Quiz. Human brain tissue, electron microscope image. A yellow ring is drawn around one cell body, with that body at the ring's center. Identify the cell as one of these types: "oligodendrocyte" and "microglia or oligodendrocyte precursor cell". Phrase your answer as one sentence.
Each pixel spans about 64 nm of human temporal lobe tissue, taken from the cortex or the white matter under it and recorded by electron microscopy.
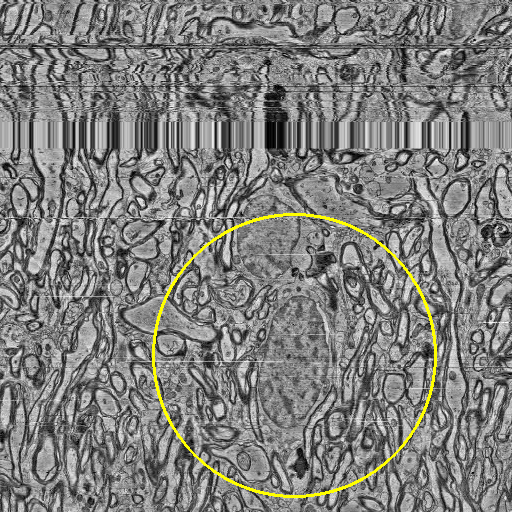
At the center of the ring sits an oligodendrocyte.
